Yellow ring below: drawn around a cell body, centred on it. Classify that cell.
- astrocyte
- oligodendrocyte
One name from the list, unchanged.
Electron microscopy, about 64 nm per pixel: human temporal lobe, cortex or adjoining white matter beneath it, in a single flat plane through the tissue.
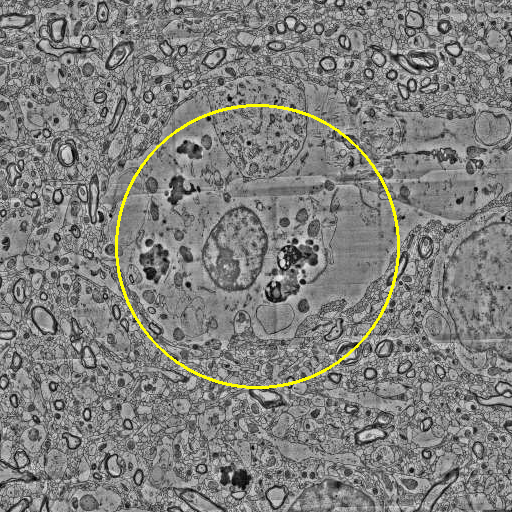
astrocyte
